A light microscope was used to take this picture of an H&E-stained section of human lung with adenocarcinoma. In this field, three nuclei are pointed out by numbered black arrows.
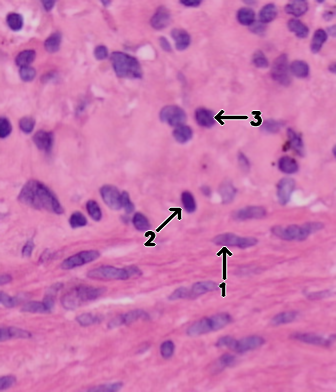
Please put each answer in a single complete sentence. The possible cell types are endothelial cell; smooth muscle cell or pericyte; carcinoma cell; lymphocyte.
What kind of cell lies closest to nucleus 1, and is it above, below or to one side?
The closest nucleus belongs to a smooth muscle cell or pericyte and sits to the right of nucleus 1.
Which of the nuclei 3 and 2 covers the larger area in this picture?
Of the two, number 3 is bigger and takes up about 1.5 times the area of number 2.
